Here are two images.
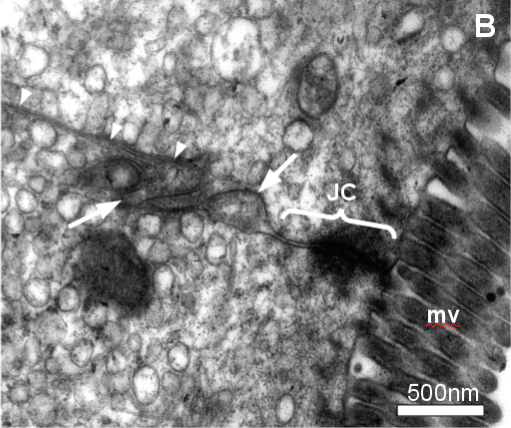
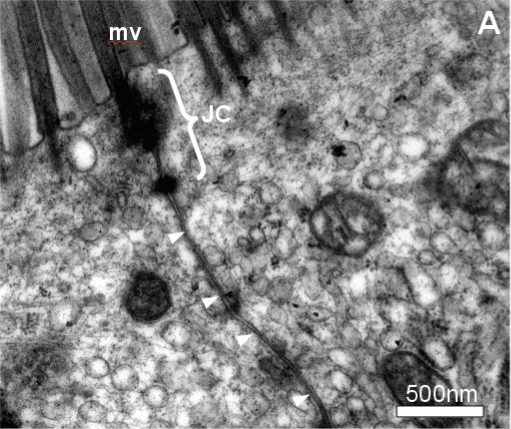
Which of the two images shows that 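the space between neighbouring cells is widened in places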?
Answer: The first image.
